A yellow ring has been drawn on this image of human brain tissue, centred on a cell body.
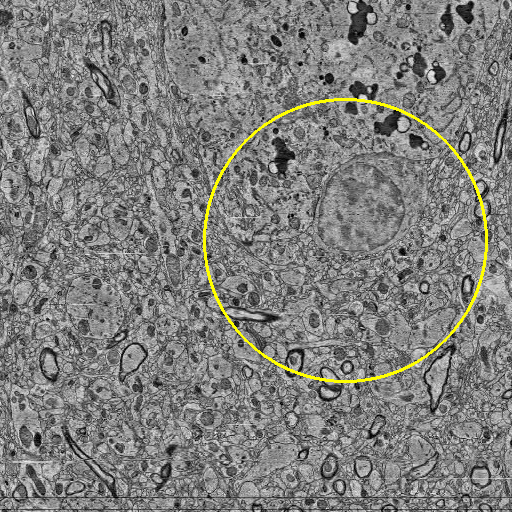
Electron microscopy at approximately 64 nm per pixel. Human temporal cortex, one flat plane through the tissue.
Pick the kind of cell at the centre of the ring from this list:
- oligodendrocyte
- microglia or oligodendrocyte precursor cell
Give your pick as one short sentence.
The centre of the ring holds an oligodendrocyte.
